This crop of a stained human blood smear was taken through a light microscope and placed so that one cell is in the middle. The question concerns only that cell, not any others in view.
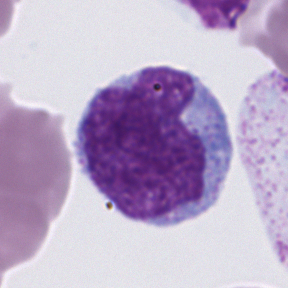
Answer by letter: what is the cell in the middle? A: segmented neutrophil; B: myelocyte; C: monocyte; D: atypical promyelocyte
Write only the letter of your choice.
C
